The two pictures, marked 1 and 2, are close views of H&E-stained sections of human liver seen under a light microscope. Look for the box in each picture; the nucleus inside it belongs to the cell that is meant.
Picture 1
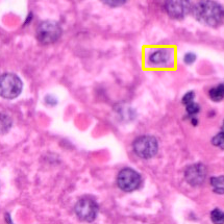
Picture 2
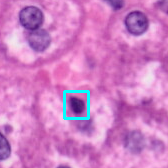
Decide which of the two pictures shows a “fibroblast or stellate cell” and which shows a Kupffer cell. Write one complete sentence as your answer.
Picture 1 is of a Kupffer cell, and picture 2 is of a “fibroblast or stellate cell”.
